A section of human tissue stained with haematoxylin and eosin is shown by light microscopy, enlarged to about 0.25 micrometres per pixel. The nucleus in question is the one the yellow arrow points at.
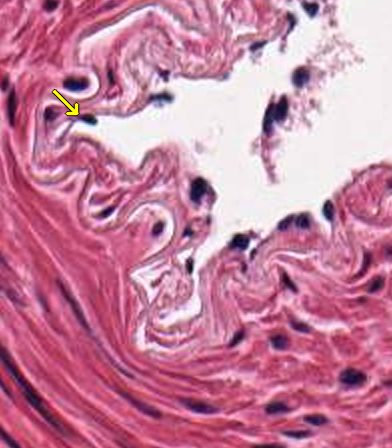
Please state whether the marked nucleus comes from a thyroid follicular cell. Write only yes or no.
no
